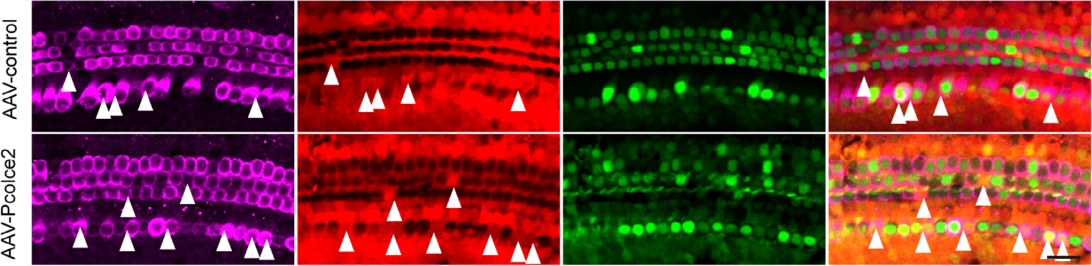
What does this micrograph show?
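This is a surface view of the sensory epithelium of the cochlea, where hair cells stand out as magenta rings arranged in strict rows: three rows above and a single row of somewhat larger cells below. Between and around them the red fluorescence fills the surrounding cells broadly, so the hair cells often appear as darker holes within the red. Green nuclei are scattered along the rows.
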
